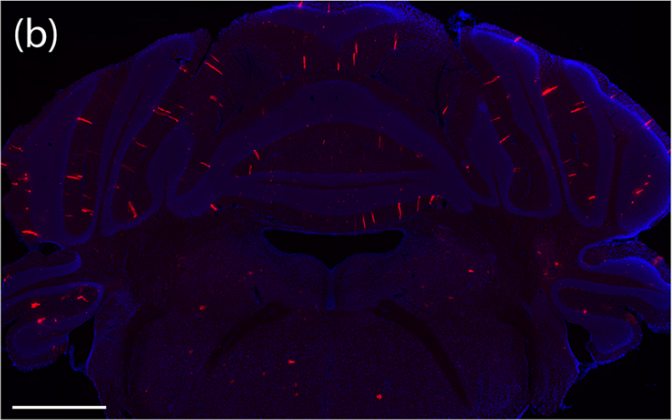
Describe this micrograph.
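This is a section through the cerebellum, with its folded folia showing a dense blue nuclear layer beneath a paler outer layer. Scattered red Purkinje neurons stand out as short streaks running straight across the outer layer, perpendicular to the surface, as their dendritic arbors do. Only a minority of cells is labelled, spread across many folia.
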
